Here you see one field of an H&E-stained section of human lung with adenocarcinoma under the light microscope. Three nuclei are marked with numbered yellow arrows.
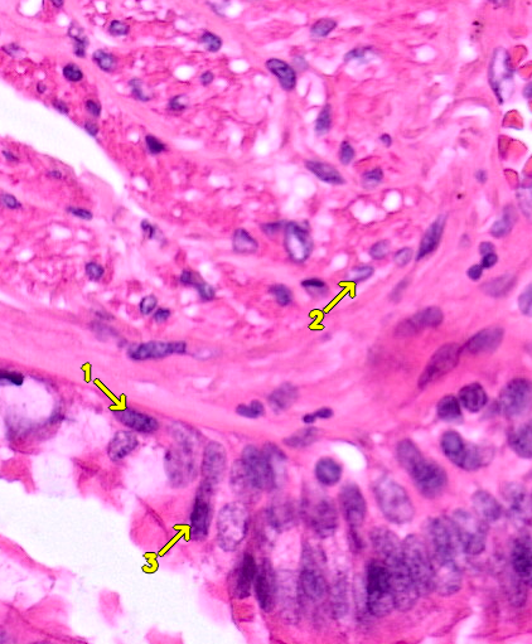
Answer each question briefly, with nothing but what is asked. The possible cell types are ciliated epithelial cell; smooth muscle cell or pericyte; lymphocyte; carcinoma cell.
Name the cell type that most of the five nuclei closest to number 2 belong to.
smooth muscle cell or pericyte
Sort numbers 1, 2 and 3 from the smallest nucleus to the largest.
2, 1, 3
